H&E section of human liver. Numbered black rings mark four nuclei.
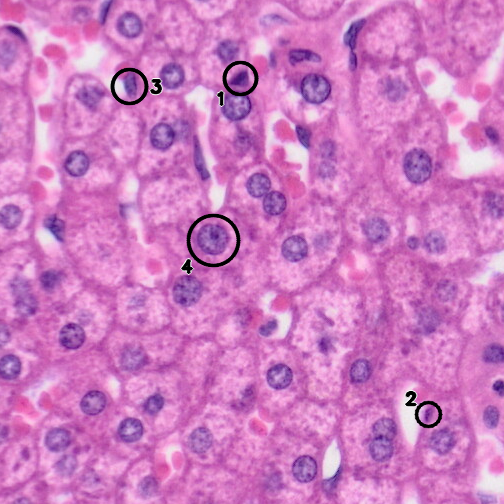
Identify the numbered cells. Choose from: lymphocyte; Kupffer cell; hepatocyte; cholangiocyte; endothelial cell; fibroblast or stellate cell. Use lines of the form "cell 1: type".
cell 1: fibroblast or stellate cell
cell 2: Kupffer cell
cell 3: endothelial cell
cell 4: hepatocyte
